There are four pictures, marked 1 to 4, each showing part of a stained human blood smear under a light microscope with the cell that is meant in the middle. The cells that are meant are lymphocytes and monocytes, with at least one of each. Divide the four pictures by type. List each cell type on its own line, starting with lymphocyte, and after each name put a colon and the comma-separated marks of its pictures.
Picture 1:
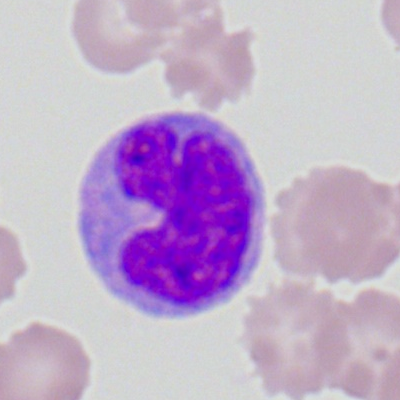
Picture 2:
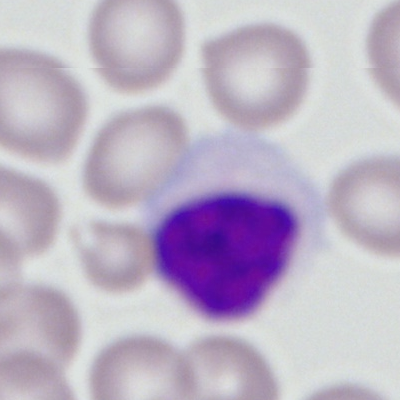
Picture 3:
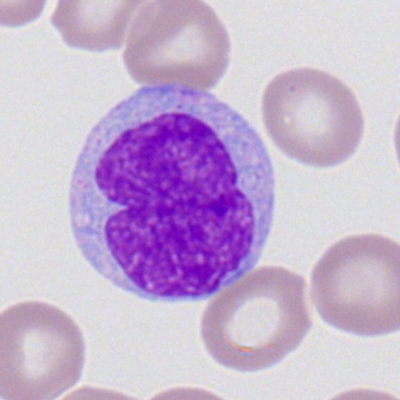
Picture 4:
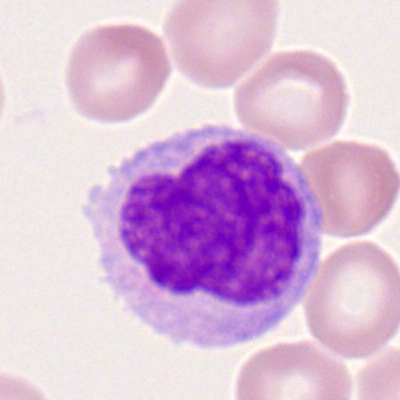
lymphocyte: 2
monocyte: 1, 3, 4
